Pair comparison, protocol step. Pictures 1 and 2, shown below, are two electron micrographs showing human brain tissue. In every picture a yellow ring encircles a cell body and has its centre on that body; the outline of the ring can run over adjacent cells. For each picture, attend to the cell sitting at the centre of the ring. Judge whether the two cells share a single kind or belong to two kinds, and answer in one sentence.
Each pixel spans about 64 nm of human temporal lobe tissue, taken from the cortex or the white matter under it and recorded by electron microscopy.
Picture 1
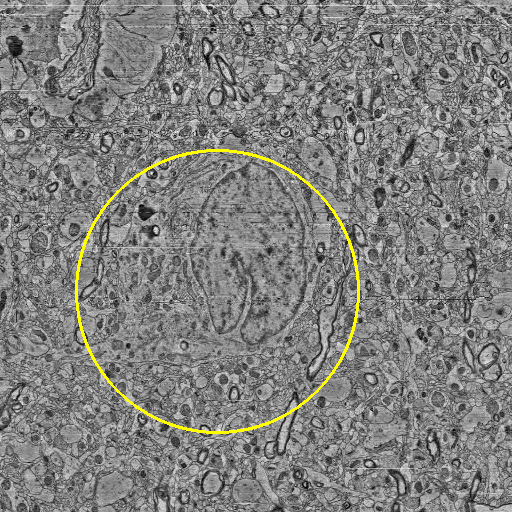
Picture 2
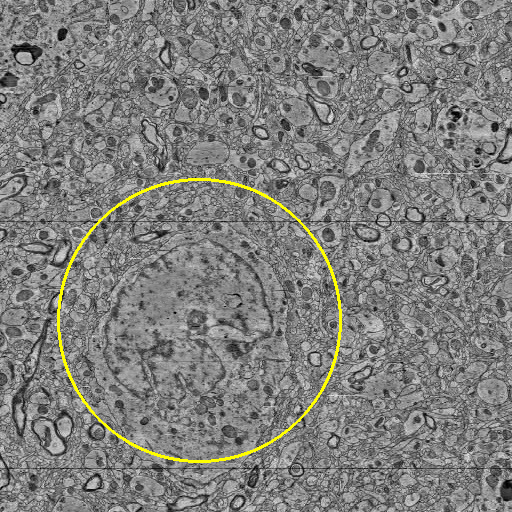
The two cells at the ring centres in Picture 1 and Picture 2 share a single kind.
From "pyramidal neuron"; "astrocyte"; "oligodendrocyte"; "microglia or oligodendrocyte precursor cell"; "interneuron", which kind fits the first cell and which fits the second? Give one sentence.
In both pictures the ring is centred on an interneuron.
